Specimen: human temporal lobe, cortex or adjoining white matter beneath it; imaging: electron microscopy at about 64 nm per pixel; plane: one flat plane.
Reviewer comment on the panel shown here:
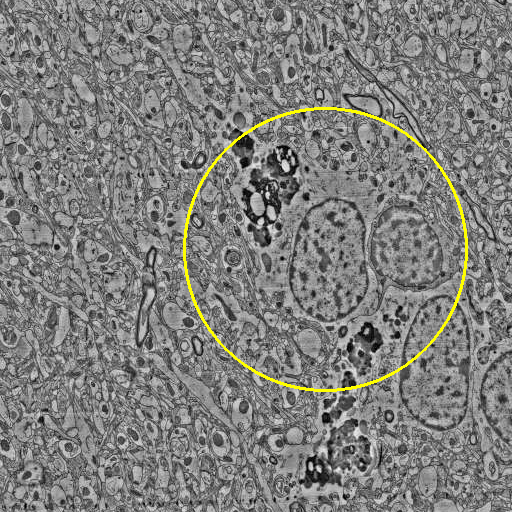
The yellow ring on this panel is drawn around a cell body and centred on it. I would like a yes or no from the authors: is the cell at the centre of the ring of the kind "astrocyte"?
yes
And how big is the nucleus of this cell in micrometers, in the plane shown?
The nucleus measures about 8 by 5 micrometres, so it is clearly longer than it is wide in this plane.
